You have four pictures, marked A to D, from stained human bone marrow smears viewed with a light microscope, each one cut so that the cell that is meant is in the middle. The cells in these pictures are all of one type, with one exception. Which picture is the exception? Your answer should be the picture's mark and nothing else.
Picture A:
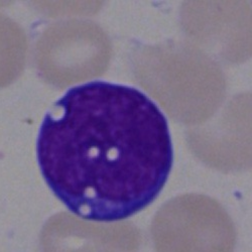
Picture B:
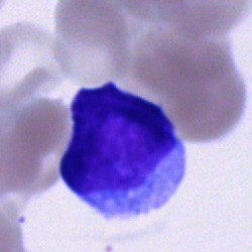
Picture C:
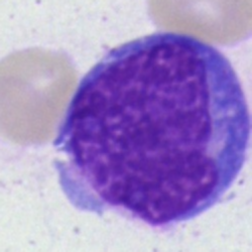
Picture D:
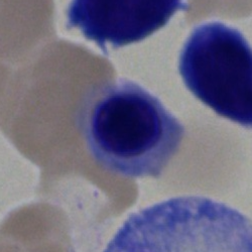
D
